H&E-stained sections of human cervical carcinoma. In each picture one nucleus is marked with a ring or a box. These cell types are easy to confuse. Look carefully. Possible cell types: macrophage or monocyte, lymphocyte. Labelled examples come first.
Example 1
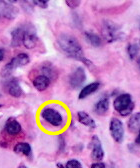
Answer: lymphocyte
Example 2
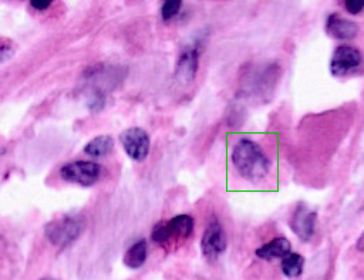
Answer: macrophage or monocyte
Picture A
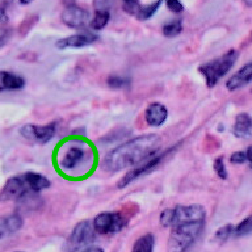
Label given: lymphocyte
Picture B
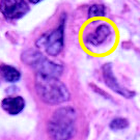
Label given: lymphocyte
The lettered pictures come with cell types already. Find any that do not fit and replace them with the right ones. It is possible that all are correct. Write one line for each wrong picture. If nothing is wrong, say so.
B: macrophage or monocyte, not lymphocyte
